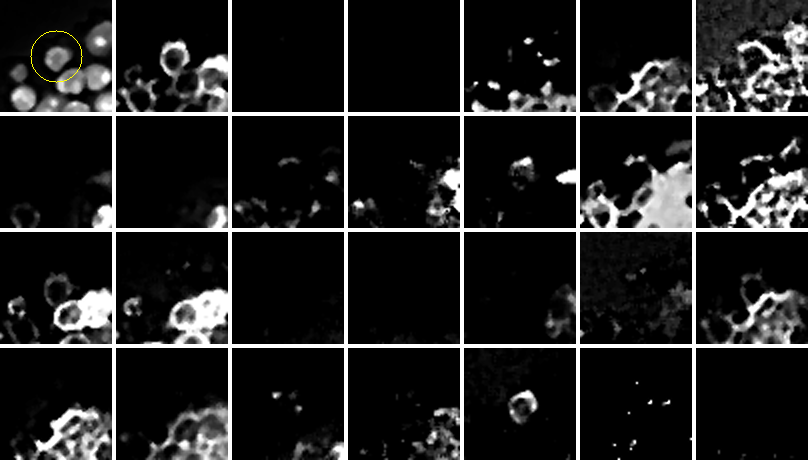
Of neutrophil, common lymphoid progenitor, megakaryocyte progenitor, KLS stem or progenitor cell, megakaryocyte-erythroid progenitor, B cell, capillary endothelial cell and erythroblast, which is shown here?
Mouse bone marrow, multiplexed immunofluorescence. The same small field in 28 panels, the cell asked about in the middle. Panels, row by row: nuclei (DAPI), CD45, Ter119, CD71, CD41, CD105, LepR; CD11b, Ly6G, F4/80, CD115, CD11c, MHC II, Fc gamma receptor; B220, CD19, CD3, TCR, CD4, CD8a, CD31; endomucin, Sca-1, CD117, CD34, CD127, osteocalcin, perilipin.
common lymphoid progenitor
